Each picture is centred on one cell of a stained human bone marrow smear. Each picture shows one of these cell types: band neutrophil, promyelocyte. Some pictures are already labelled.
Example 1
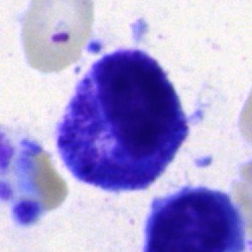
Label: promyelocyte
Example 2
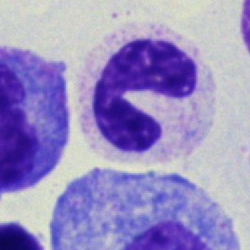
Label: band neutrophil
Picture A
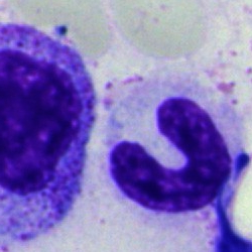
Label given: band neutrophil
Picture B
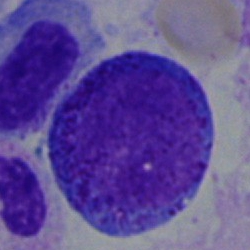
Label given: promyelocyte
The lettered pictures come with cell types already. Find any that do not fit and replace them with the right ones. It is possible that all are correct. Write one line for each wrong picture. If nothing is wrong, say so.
All labels are correct.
